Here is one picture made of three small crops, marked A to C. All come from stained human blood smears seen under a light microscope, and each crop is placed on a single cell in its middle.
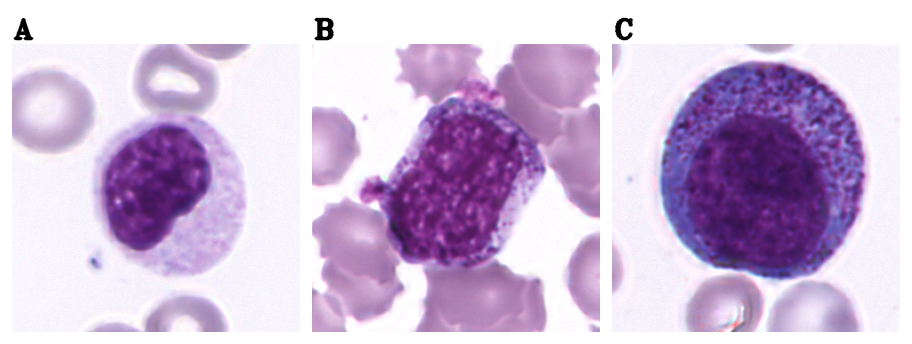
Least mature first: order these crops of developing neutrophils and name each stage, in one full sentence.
Maturity increases along the sequence crop C (a promyelocyte), crop B (a myelocyte) and crop A (a metamyelocyte).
